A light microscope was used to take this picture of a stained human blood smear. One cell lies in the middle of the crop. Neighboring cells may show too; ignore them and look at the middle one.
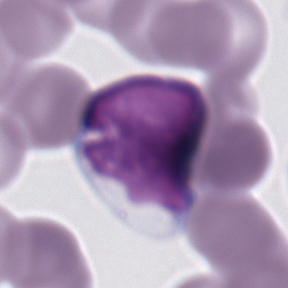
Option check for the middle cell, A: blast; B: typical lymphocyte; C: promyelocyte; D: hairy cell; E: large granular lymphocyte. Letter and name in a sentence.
In the middle of the crop is a large granular lymphocyte; option E is therefore correct.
